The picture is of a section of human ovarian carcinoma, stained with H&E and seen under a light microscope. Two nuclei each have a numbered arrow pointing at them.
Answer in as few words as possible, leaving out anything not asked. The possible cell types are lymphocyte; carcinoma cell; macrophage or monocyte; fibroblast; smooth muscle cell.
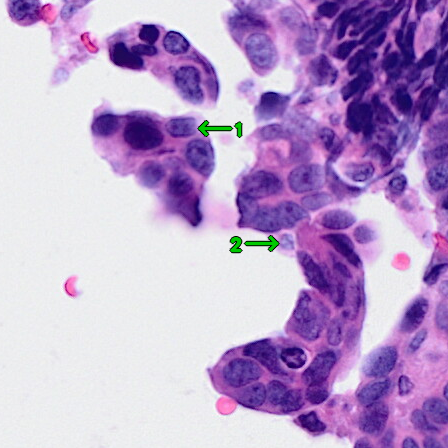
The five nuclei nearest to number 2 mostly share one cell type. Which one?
carcinoma cell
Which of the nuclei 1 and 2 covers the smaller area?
2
